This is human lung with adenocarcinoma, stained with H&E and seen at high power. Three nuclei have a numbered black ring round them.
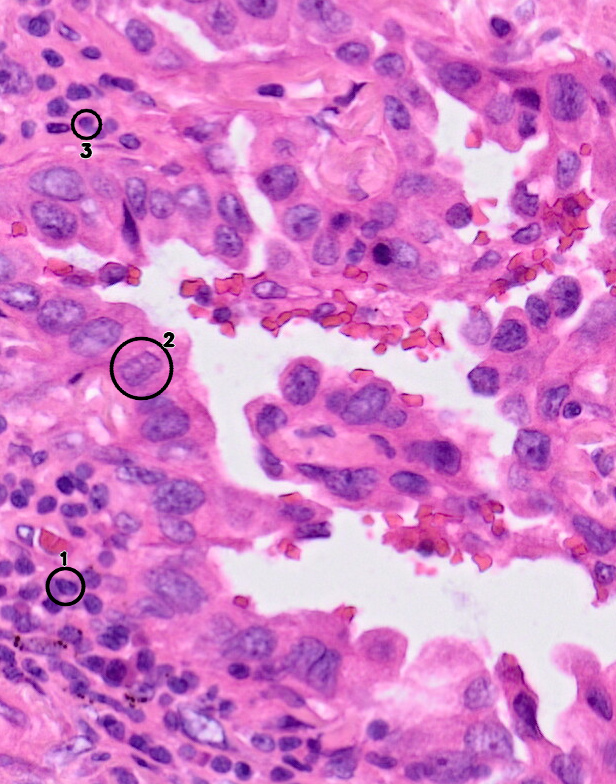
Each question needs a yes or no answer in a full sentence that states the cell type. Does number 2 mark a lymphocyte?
No, cell 2 should be classed as a carcinoma cell, not as a lymphocyte.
